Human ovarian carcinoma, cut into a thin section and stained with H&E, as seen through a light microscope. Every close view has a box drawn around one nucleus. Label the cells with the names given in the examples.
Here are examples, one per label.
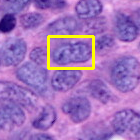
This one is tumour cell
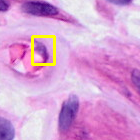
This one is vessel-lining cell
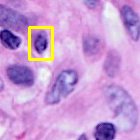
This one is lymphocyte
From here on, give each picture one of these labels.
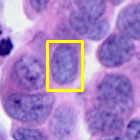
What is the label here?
tumour cell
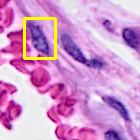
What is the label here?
vessel-lining cell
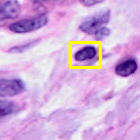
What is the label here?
lymphocyte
